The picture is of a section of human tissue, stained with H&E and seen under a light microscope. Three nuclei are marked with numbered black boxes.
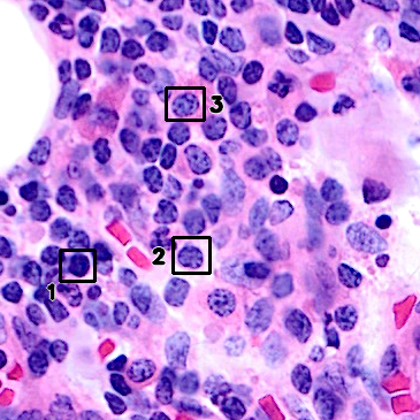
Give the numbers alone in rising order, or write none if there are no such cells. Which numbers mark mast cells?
3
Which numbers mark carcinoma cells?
none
